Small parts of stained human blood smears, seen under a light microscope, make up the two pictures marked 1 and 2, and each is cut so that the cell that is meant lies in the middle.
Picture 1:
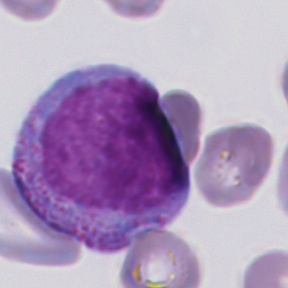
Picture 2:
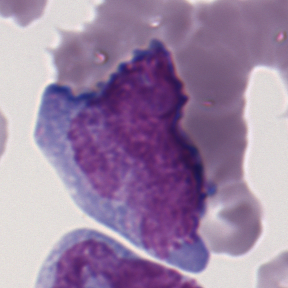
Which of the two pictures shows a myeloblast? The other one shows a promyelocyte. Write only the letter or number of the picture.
2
